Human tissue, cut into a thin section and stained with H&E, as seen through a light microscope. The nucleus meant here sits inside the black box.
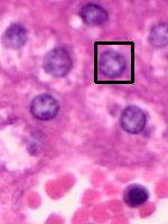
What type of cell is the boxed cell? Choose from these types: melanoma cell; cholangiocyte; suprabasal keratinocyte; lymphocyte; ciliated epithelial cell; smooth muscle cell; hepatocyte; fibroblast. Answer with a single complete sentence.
In this section of tissue, the boxed cell is a hepatocyte.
